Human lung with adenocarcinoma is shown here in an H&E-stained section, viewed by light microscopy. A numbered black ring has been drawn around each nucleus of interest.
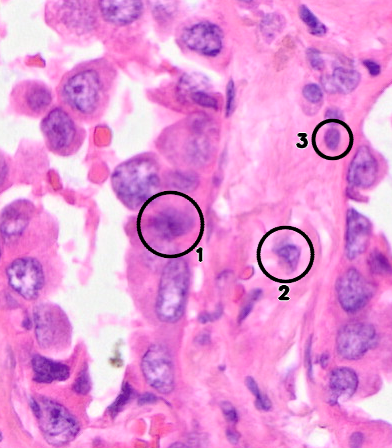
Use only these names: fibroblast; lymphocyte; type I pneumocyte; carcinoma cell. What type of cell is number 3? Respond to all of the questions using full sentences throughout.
That cell with number 3 is a lymphocyte.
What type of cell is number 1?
What the number 1 marks in this field is a carcinoma cell.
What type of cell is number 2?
The nucleus labeled 2 belongs to a fibroblast.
